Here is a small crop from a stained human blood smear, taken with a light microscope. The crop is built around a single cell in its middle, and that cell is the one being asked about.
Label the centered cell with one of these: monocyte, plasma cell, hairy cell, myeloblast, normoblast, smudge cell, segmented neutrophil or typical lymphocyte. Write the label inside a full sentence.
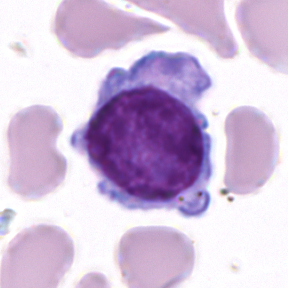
Answering briefly, the cell in the middle is a plasma cell.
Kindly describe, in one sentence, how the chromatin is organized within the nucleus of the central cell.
The chromatin remains finely textured, with no coarse clumps to speak of.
